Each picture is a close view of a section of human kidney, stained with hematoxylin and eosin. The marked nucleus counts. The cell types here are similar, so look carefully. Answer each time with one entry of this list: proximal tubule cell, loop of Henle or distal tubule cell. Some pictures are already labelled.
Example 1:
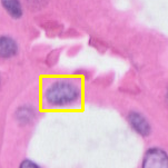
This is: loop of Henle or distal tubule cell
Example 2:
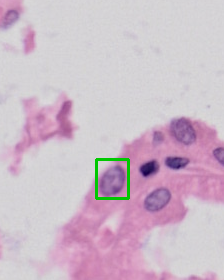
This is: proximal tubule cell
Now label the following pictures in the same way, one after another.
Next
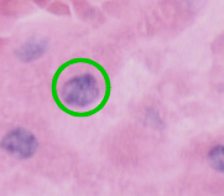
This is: proximal tubule cell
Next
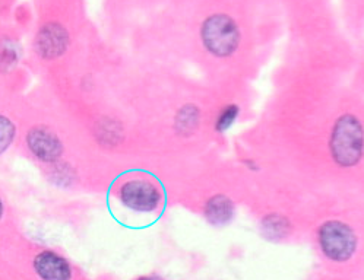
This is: loop of Henle or distal tubule cell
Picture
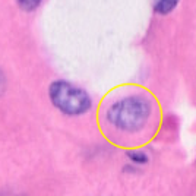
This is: loop of Henle or distal tubule cell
